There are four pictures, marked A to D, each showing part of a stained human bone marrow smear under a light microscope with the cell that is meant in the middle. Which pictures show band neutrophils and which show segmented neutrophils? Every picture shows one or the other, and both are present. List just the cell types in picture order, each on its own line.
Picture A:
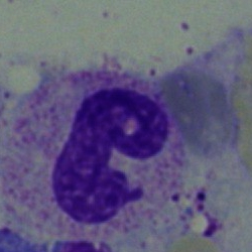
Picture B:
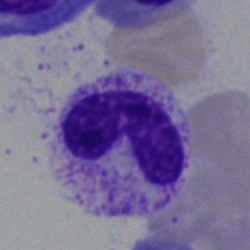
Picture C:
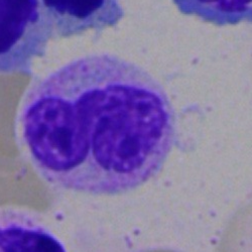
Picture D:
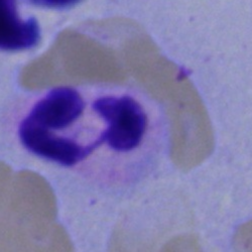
band neutrophil
band neutrophil
band neutrophil
segmented neutrophil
